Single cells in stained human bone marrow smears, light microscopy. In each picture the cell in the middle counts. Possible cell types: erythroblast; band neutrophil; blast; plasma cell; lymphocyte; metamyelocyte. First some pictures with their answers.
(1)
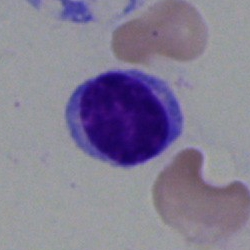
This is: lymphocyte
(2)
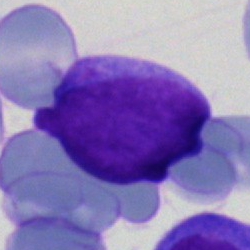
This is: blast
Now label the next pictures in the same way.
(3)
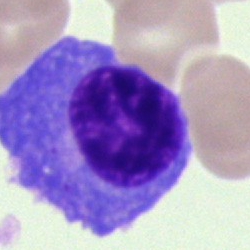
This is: plasma cell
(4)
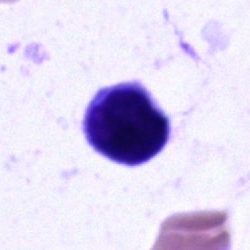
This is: lymphocyte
